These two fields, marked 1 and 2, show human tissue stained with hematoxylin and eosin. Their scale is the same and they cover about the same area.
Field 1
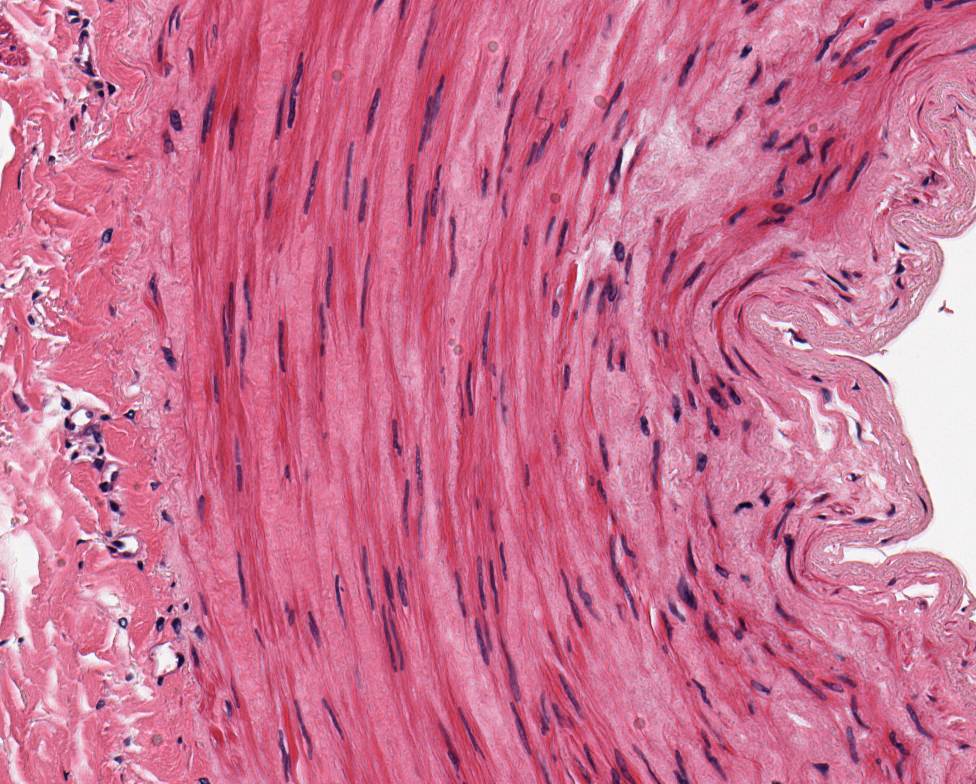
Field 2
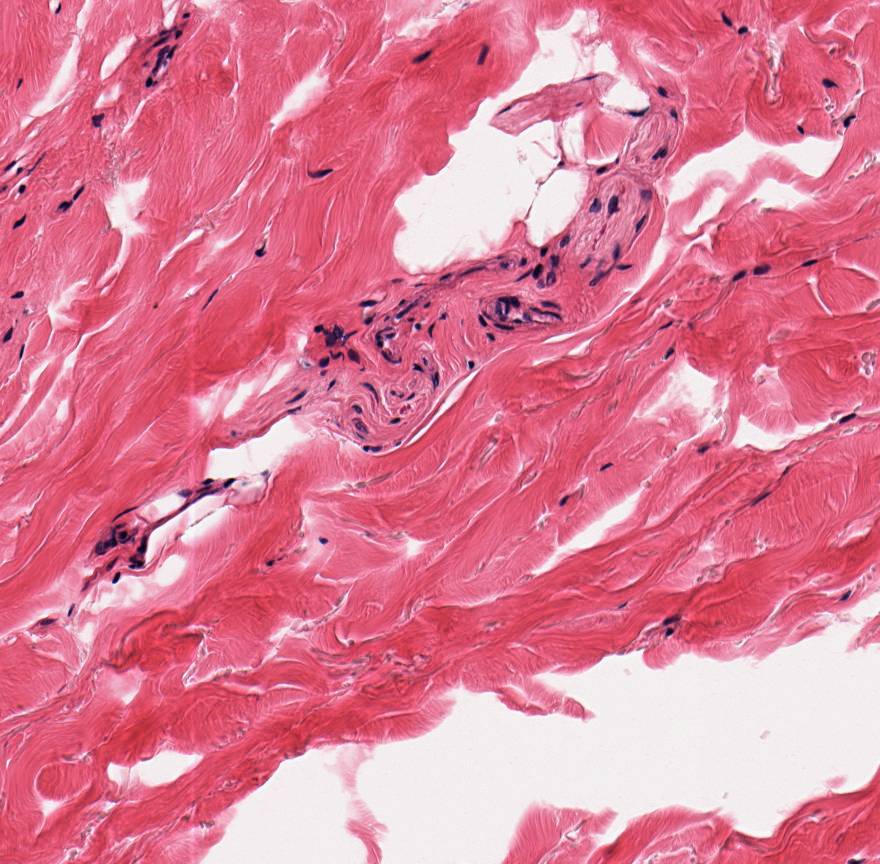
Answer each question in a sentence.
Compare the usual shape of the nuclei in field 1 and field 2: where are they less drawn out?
On the whole the nuclei of field 2 are rounder than those of field 1.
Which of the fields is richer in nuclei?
There are more nuclei in field 1.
